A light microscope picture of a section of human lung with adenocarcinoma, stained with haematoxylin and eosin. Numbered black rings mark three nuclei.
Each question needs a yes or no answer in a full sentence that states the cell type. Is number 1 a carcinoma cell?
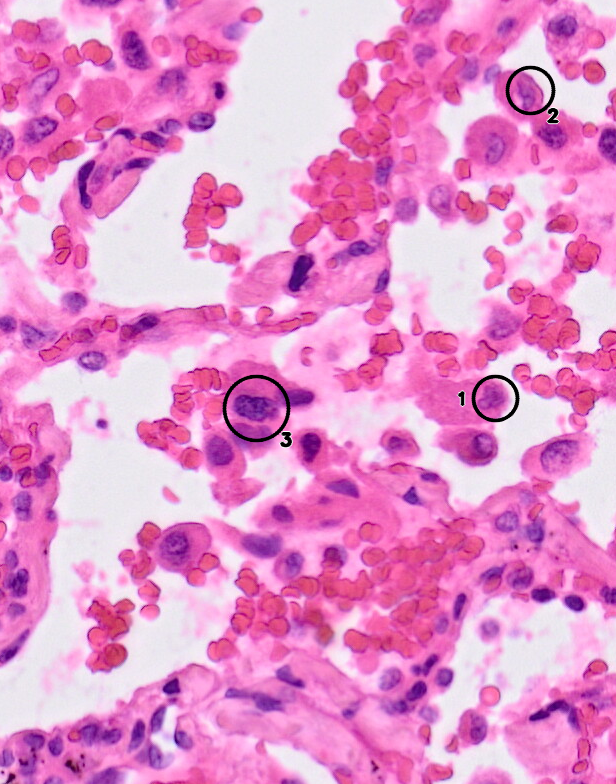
No, cell 1 is not a carcinoma cell; a macrophage or monocyte is the correct identification.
